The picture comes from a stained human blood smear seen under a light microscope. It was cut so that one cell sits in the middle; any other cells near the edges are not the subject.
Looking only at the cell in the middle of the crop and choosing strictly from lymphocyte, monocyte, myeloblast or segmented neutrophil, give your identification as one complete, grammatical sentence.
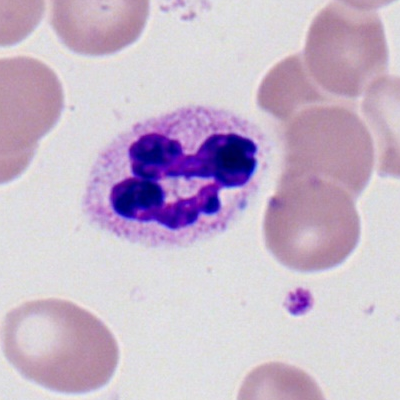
For this crop, the central cell is a segmented neutrophil.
